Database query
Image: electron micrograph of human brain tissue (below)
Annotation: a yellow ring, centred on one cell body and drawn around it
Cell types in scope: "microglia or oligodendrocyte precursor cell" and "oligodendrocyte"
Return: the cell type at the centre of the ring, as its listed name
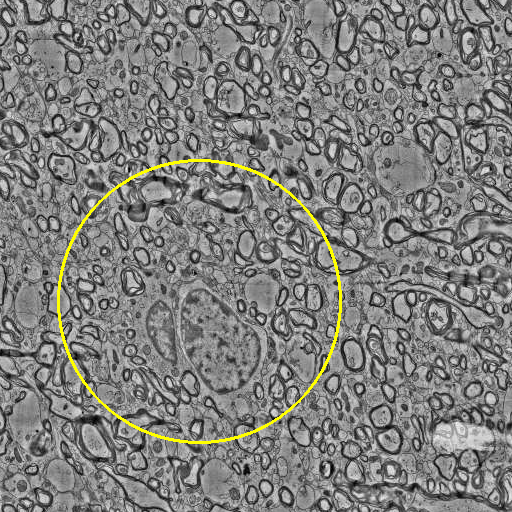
microglia or oligodendrocyte precursor cell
